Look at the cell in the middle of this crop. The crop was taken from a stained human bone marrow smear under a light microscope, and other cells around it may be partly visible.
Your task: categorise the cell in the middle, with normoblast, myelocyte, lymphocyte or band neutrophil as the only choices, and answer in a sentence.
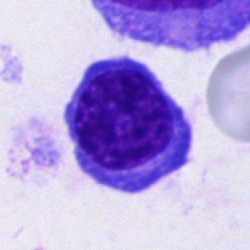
Whatever else lies nearby, the middle cell is a normoblast.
